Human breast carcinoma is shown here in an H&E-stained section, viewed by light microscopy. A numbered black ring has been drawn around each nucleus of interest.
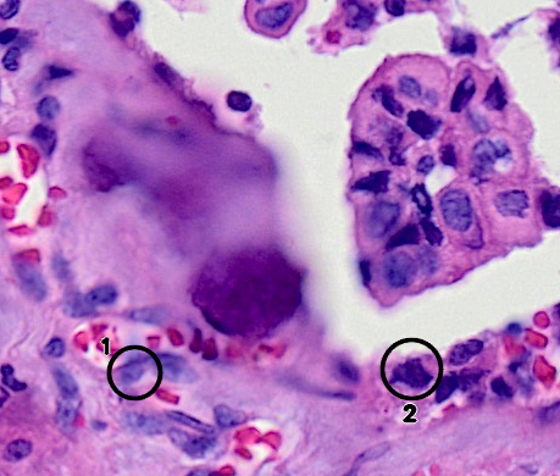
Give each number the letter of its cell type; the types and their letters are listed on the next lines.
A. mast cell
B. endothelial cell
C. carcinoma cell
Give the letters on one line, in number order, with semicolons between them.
B; C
